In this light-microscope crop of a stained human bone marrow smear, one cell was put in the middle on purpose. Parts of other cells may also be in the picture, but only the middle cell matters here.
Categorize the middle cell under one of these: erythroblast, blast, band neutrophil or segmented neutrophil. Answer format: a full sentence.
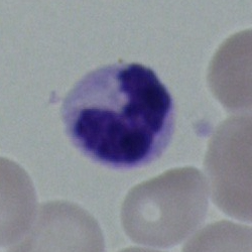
Of the cells in this crop, the central one is a segmented neutrophil.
